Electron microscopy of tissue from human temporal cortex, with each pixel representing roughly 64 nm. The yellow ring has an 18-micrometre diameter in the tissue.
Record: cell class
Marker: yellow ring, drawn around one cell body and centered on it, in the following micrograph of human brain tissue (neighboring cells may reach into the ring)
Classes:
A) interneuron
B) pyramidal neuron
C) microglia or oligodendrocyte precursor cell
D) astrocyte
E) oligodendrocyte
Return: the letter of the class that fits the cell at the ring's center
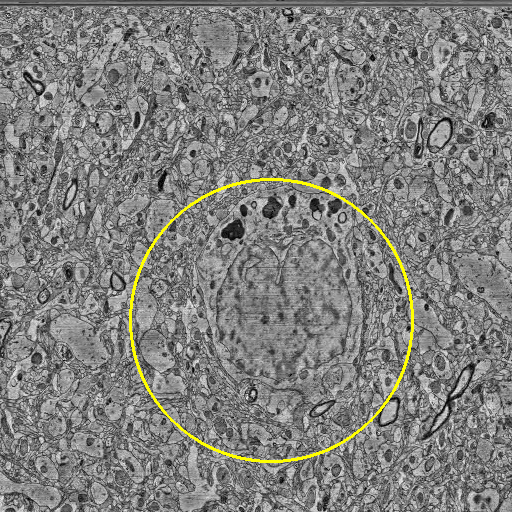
A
